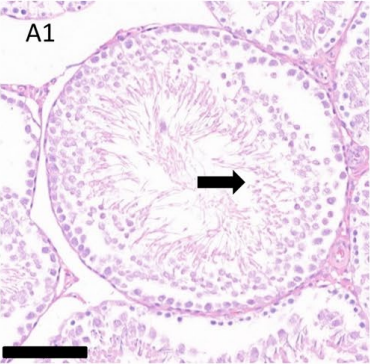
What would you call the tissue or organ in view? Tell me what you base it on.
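Seminiferous tubules. A round tubule bounded by a thin basement membrane. Several layers of round-nucleated cells line the wall around a central lumen. Elongated eosinophilic tails fill the lumen.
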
